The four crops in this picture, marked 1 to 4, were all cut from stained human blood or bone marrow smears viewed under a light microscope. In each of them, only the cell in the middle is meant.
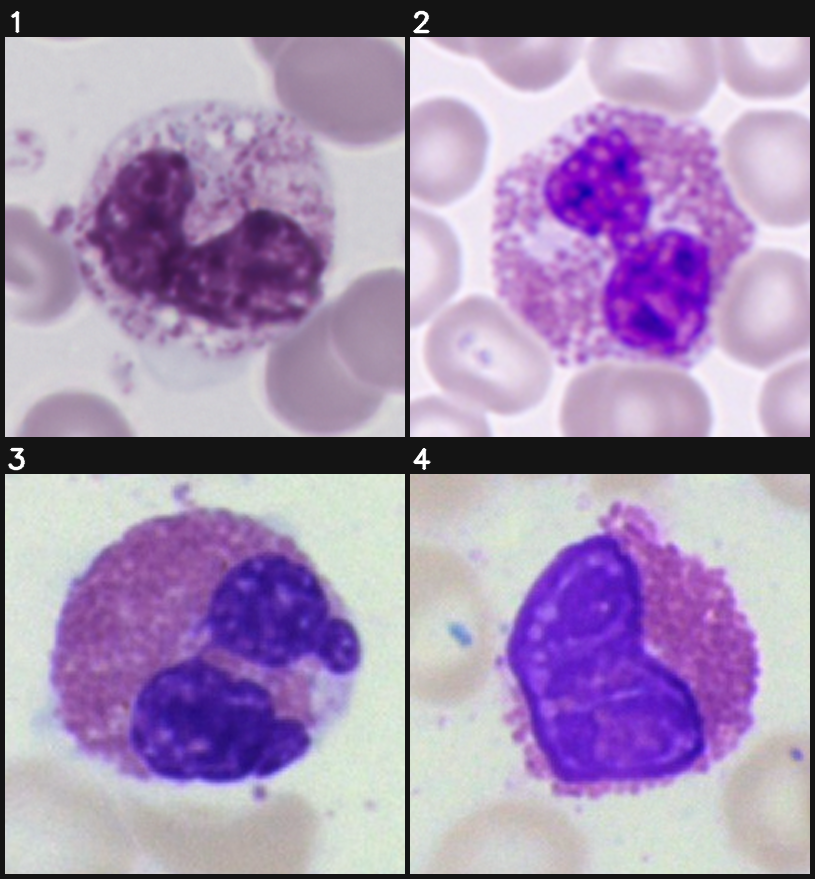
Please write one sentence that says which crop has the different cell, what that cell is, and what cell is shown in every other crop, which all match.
All the crops show eosinophils, barring crop 1, which is a band neutrophil.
